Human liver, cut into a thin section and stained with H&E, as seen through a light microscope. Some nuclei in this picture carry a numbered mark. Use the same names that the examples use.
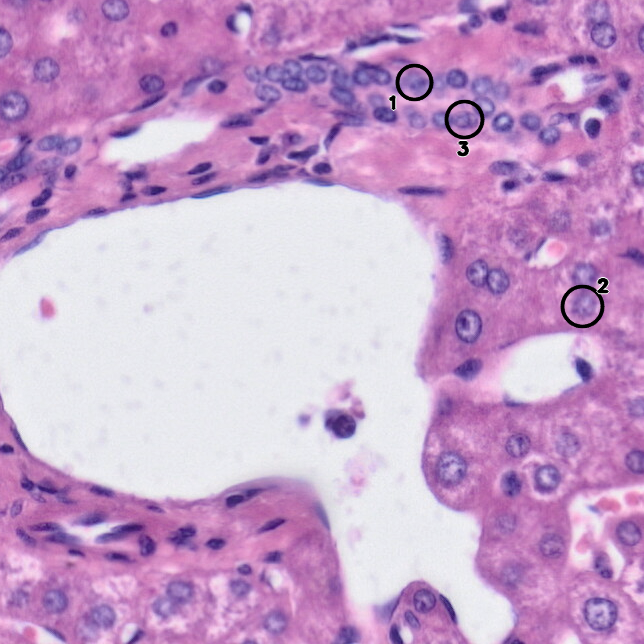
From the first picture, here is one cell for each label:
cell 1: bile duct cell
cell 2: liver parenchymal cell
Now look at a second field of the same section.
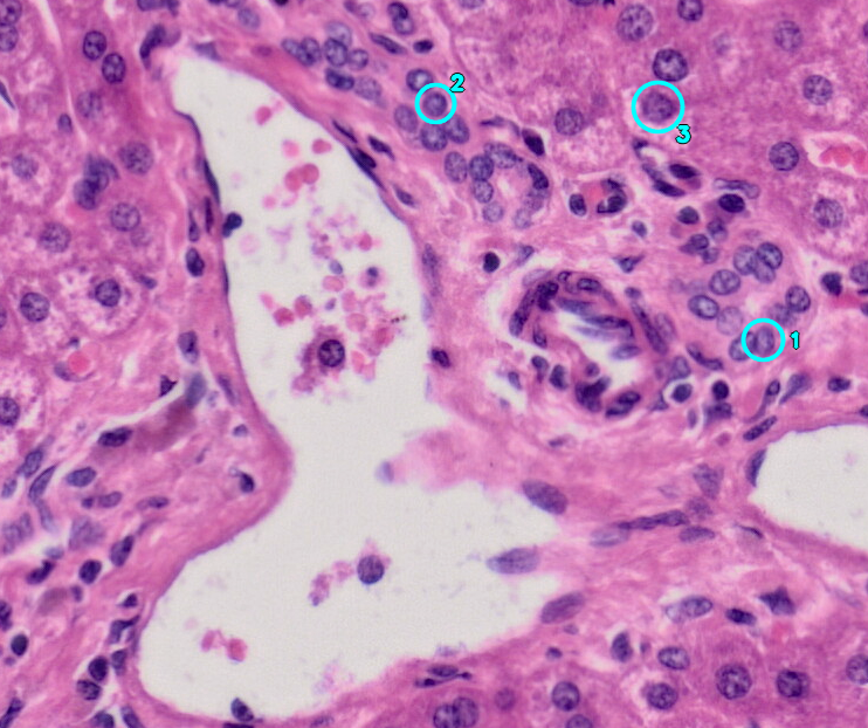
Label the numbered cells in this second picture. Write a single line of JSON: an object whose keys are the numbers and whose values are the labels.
{"1": "bile duct cell", "2": "bile duct cell", "3": "liver parenchymal cell"}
